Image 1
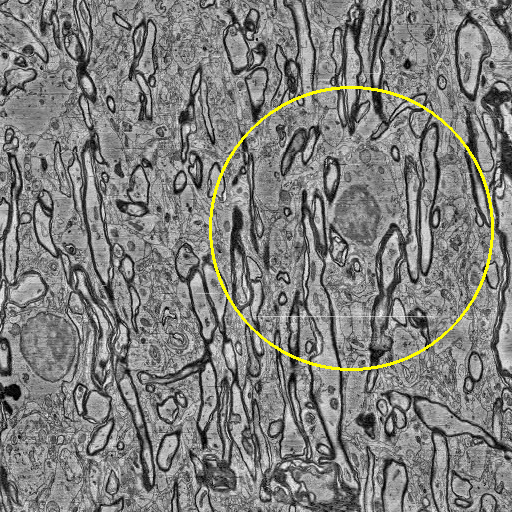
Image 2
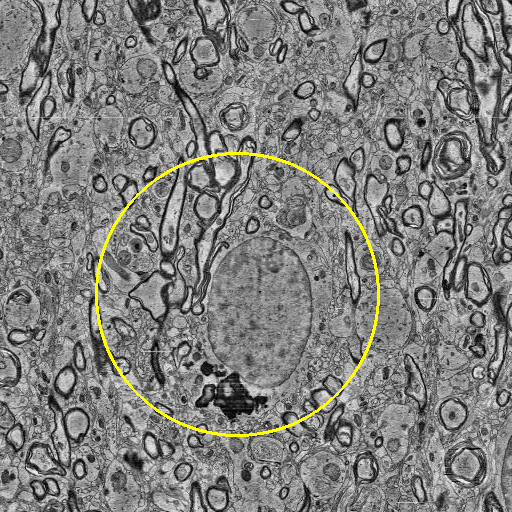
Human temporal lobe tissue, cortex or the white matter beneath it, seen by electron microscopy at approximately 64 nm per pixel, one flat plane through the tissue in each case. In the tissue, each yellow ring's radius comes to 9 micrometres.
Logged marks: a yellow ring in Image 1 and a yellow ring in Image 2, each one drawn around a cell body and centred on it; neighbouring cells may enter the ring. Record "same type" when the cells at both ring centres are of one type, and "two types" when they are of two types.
same type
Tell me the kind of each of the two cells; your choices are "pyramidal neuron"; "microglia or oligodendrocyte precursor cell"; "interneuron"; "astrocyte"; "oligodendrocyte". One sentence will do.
The cell at the ring centre is an oligodendrocyte in both pictures.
